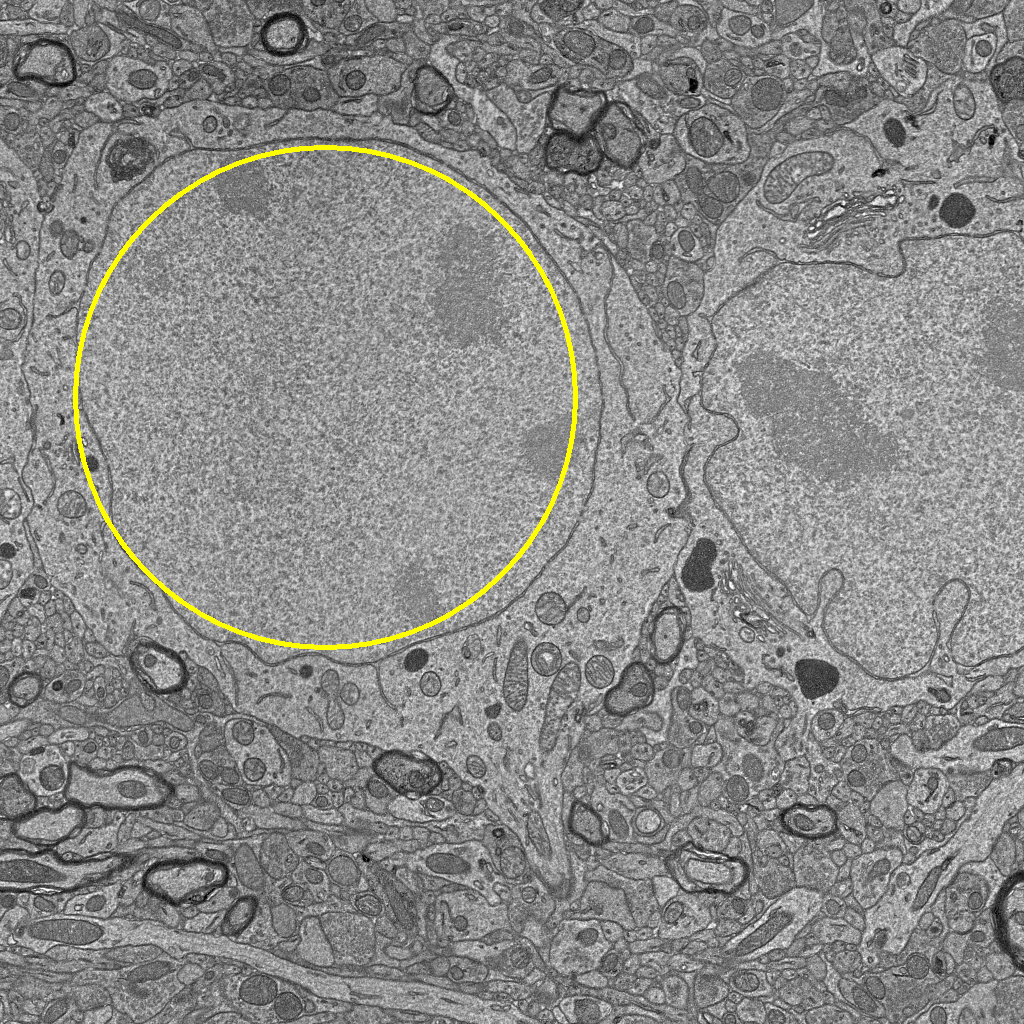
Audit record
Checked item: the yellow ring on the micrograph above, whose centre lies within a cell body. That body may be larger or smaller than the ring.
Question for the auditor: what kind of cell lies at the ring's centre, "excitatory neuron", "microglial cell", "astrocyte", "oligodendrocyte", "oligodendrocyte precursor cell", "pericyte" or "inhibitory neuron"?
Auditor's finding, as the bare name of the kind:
excitatory neuron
